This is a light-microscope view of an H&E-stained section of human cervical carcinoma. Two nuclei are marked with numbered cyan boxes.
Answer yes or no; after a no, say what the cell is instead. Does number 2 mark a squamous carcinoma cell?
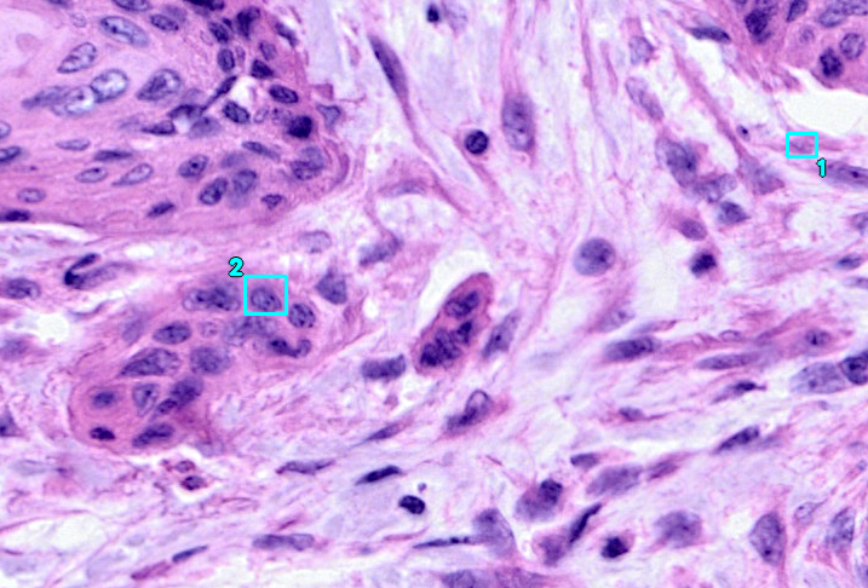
Yes.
